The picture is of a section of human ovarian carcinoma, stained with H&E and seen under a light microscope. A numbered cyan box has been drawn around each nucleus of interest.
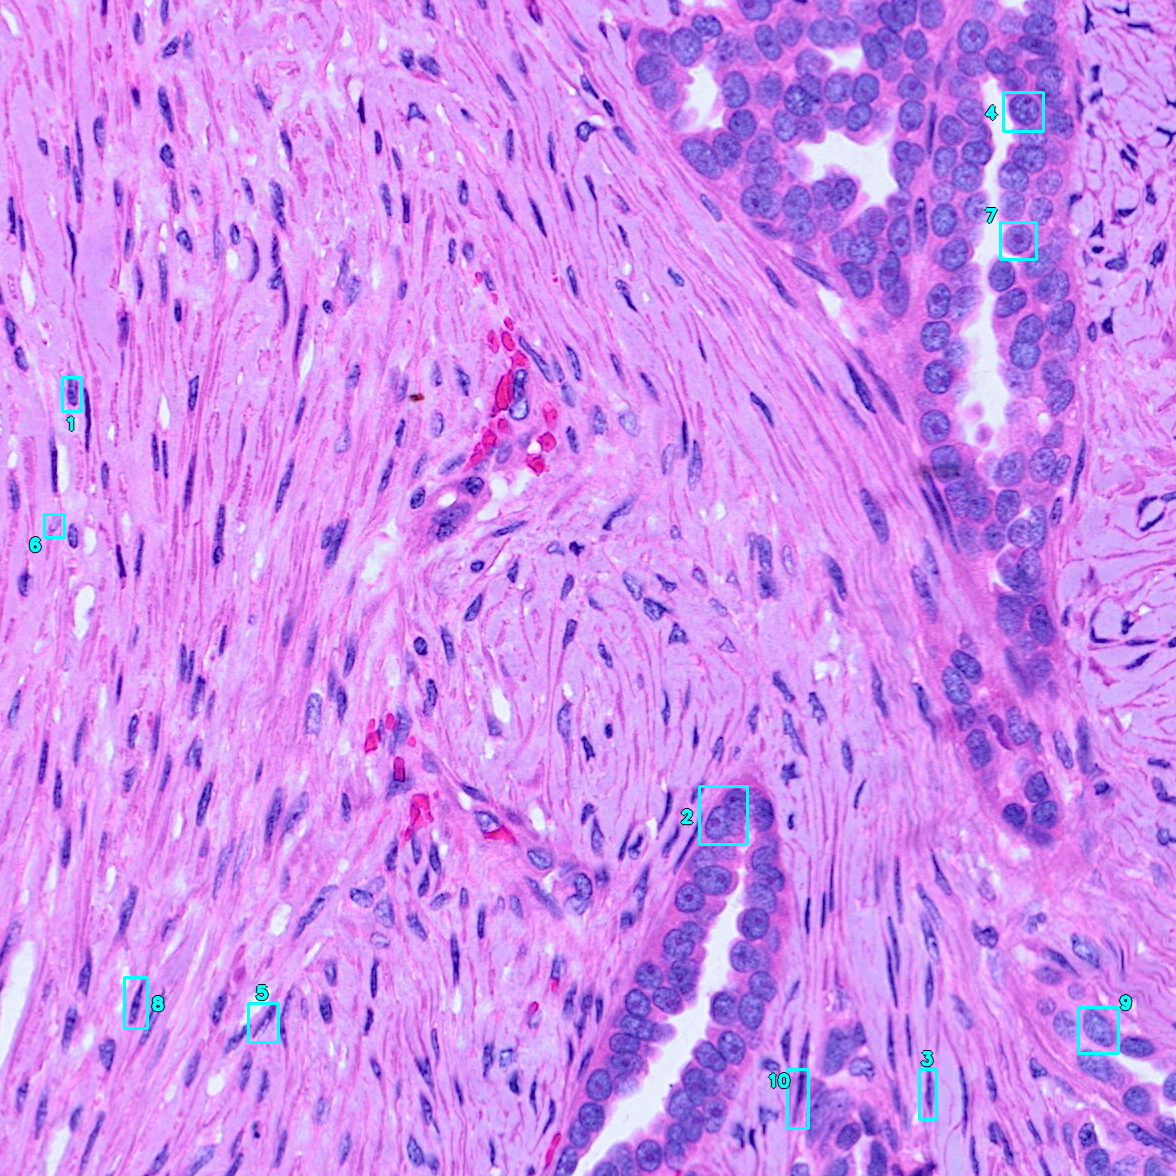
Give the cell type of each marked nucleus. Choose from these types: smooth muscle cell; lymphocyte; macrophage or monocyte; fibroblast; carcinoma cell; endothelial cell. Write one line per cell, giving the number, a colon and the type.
1: fibroblast
2: carcinoma cell
3: fibroblast
4: carcinoma cell
5: fibroblast
6: fibroblast
7: carcinoma cell
8: fibroblast
9: carcinoma cell
10: fibroblast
